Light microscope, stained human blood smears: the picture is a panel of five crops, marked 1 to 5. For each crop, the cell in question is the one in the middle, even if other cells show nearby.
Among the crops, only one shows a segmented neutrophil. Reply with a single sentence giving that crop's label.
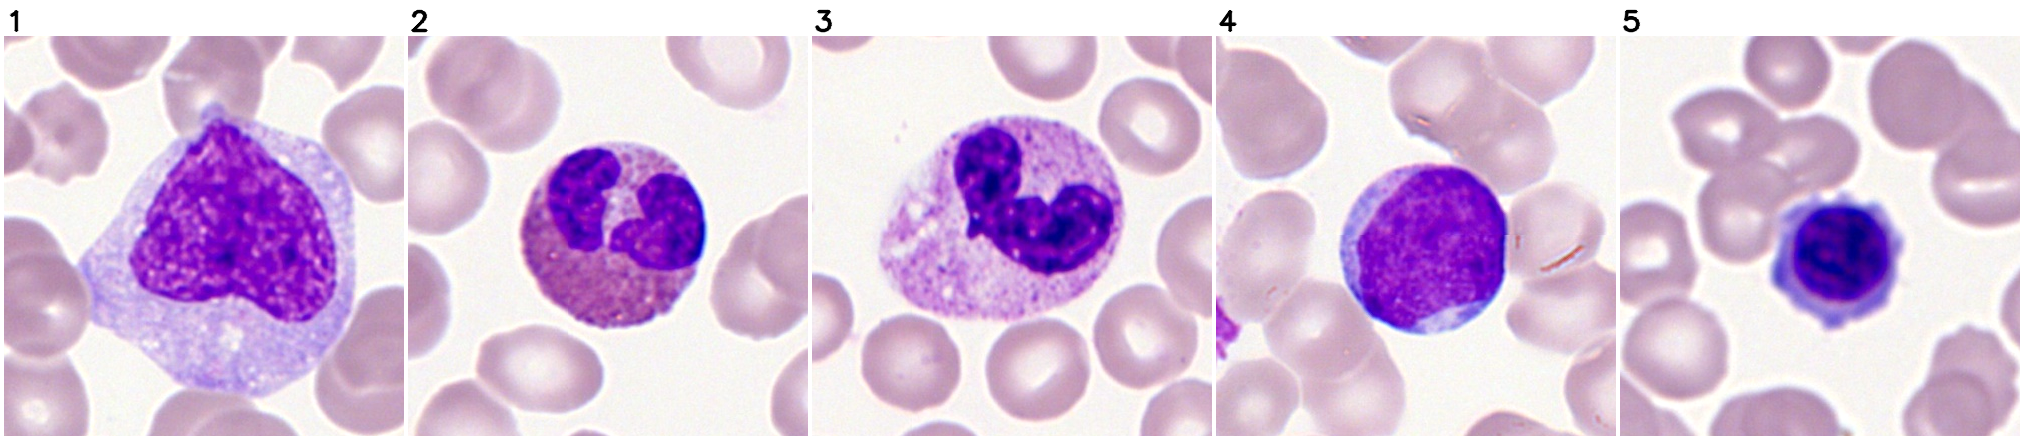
It is crop 3 that shows a segmented neutrophil.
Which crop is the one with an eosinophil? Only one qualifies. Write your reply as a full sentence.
Crop 2 is the crop containing an eosinophil.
